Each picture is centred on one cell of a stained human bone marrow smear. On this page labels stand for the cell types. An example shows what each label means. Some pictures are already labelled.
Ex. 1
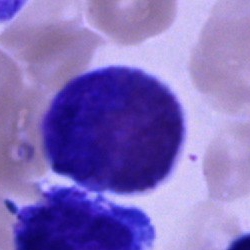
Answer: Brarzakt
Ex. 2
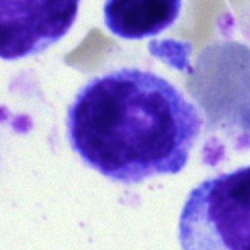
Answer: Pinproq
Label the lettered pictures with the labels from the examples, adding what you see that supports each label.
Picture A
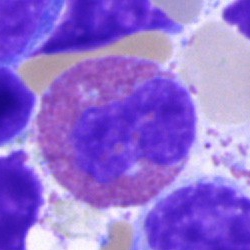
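Brarzakt. The cytoplasm is packed with many pink-orange granules.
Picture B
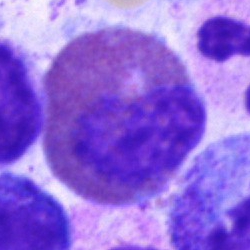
Brarzakt. The cytoplasm is abundant and fills the upper-left part of the cell.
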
